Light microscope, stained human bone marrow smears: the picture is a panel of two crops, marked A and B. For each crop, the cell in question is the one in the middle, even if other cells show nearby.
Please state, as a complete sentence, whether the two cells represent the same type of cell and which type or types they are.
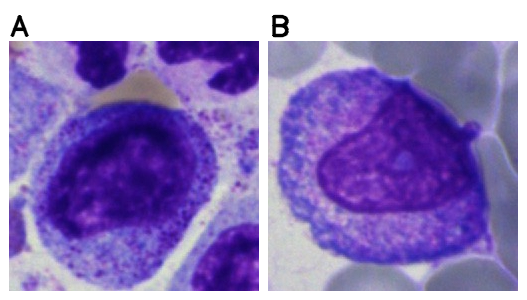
Yes, both crops show promyelocytes, and the two match.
